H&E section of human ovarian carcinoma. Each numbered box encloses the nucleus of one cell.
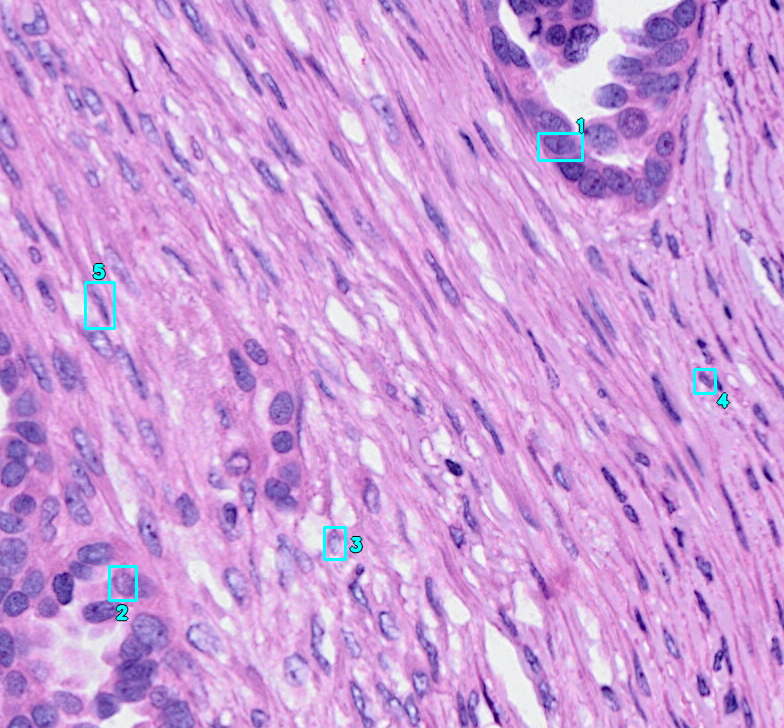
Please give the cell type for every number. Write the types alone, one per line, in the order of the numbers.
carcinoma cell
carcinoma cell
fibroblast
fibroblast
fibroblast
